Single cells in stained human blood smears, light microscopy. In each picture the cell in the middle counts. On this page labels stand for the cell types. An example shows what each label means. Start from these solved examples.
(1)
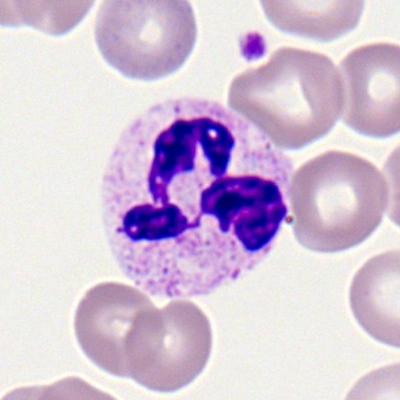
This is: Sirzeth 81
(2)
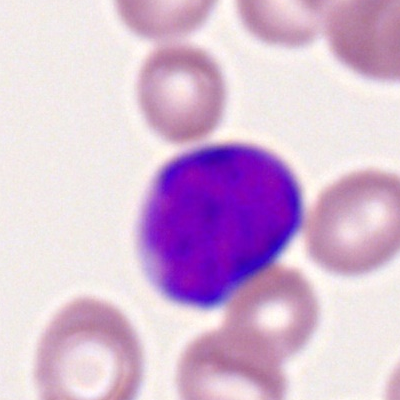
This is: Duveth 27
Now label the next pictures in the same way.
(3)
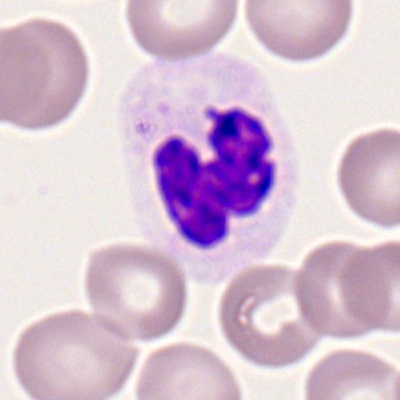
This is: Sirzeth 81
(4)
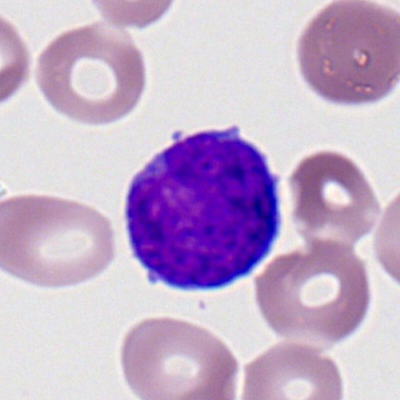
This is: Duveth 27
